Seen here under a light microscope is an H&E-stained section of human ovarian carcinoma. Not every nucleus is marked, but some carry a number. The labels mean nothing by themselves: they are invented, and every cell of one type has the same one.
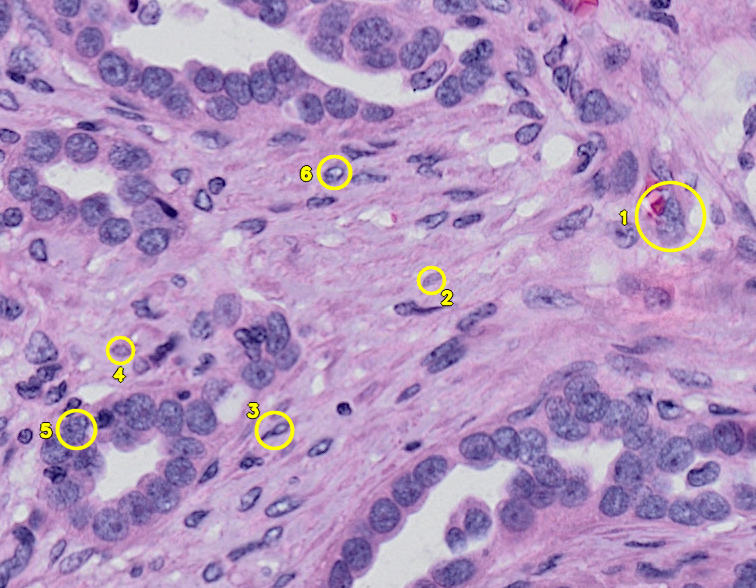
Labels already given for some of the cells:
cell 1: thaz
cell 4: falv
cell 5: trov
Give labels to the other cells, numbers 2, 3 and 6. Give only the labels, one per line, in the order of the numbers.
falv
falv
falv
